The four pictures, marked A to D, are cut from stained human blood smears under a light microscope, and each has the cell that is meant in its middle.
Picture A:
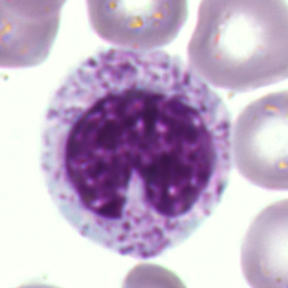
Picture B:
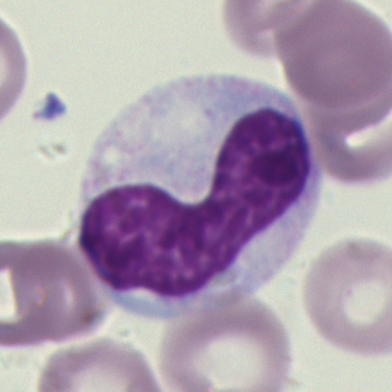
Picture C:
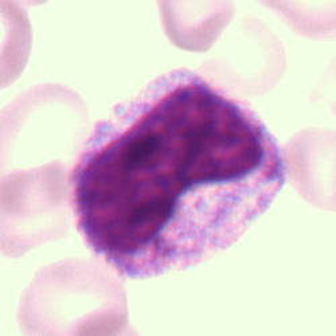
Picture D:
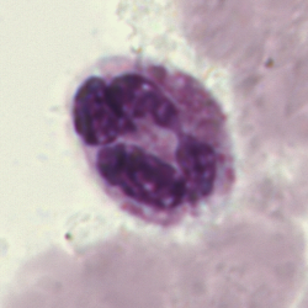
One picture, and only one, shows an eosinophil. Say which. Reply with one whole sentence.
The cell in picture D is the eosinophil.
